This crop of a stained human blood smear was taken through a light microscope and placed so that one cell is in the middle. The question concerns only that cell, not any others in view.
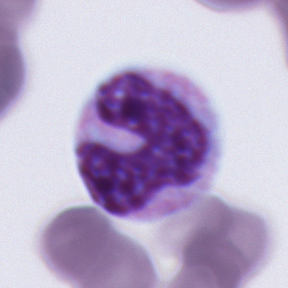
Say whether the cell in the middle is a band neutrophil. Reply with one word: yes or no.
yes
